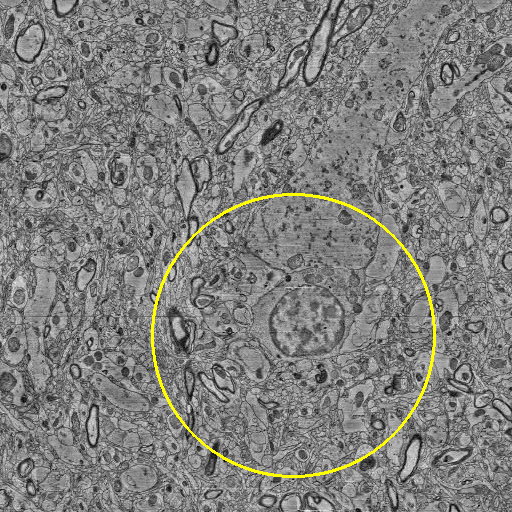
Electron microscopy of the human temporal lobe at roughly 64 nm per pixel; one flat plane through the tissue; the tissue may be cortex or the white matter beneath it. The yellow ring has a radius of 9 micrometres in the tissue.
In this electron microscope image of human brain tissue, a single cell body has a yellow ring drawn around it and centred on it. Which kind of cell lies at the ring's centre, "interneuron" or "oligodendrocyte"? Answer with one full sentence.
It is an oligodendrocyte whose cell body lies at the centre of the yellow ring here.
